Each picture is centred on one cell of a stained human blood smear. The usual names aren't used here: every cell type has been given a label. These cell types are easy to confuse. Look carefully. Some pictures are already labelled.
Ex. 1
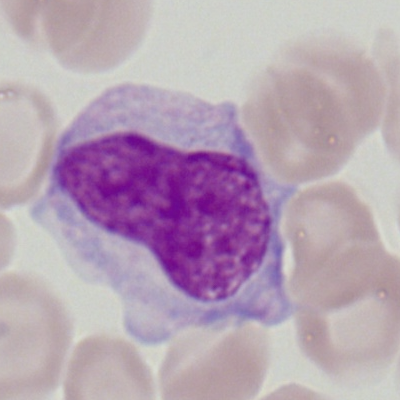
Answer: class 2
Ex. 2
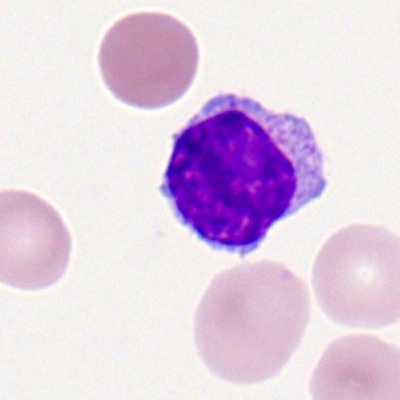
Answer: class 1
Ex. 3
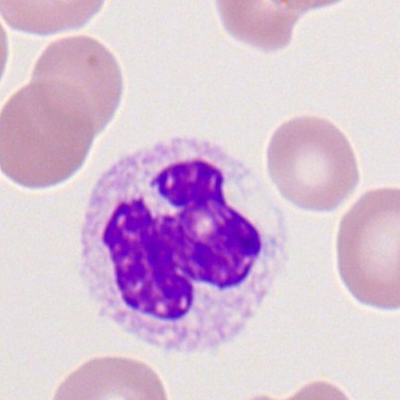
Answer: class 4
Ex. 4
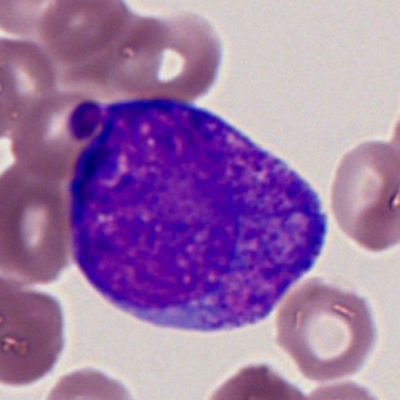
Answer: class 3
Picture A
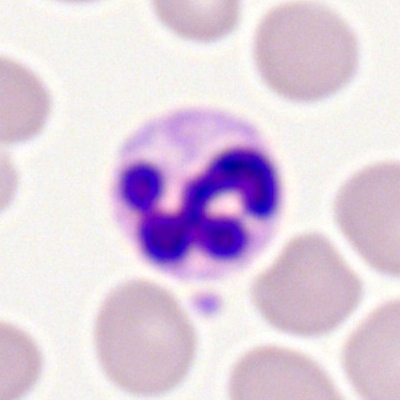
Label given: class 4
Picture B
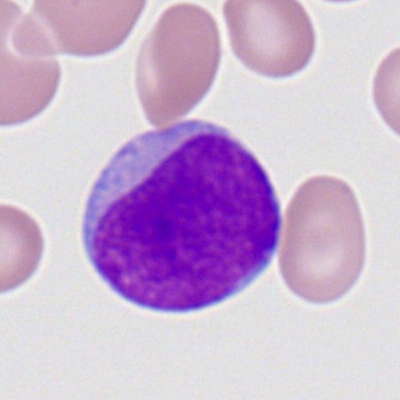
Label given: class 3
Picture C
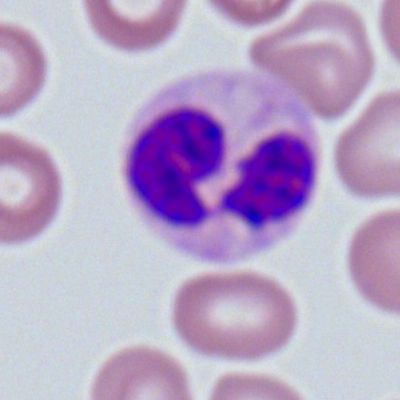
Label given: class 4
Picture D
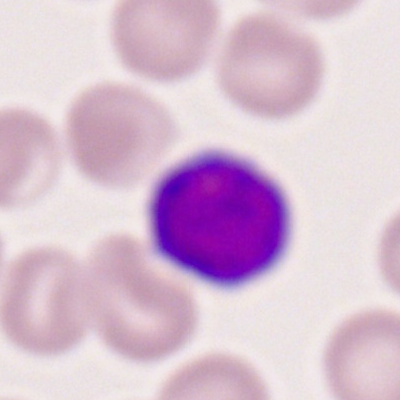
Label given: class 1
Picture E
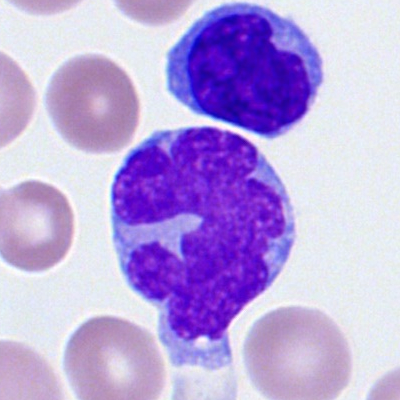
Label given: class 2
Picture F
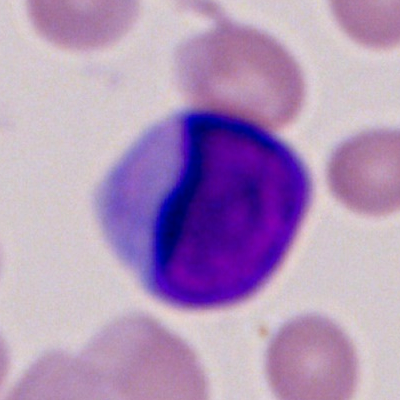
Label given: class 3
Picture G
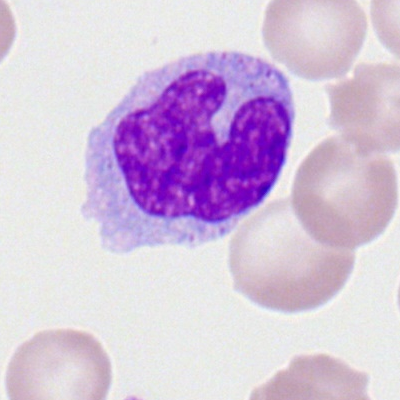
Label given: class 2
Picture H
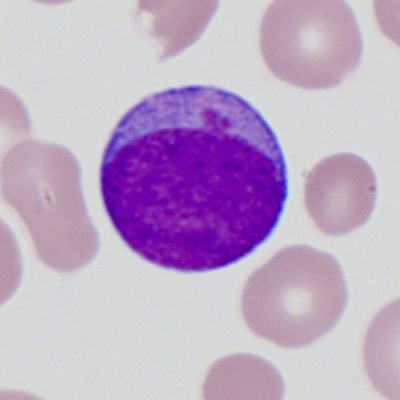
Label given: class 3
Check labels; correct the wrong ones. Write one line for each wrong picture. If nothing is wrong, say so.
All correct.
